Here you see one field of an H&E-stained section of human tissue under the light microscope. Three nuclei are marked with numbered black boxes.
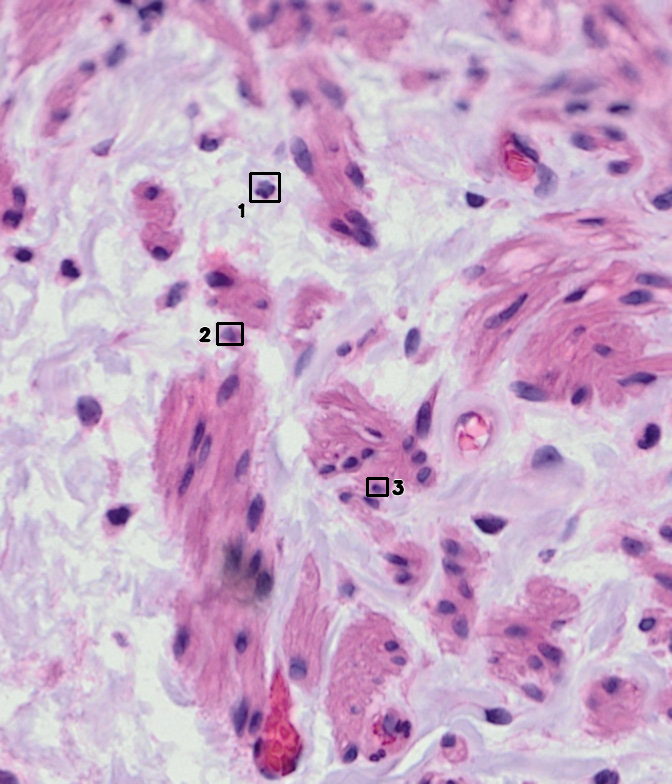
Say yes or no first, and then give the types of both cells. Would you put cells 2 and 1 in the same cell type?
No, cell 2 is to be identified as a smooth muscle cell and cell 1 as a lymphocyte.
